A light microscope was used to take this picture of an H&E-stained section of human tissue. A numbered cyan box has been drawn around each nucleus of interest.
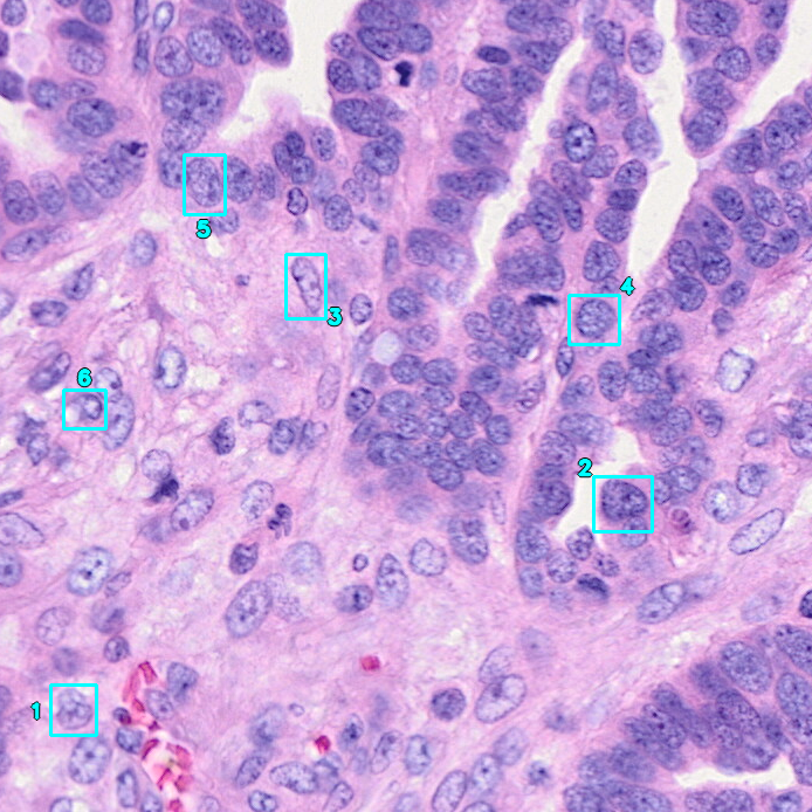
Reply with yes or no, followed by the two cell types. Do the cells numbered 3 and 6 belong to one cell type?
Yes, both are fibroblasts.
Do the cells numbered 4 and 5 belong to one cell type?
Yes, both are carcinoma cells.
